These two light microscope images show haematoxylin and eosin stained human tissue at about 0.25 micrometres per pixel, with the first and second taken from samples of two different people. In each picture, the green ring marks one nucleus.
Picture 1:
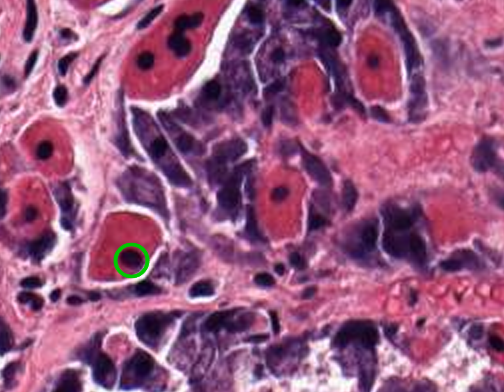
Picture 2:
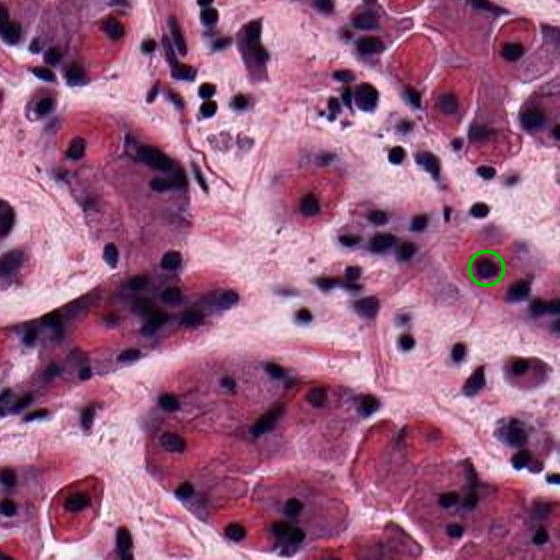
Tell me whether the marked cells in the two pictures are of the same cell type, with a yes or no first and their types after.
Yes, both are parietal cells.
